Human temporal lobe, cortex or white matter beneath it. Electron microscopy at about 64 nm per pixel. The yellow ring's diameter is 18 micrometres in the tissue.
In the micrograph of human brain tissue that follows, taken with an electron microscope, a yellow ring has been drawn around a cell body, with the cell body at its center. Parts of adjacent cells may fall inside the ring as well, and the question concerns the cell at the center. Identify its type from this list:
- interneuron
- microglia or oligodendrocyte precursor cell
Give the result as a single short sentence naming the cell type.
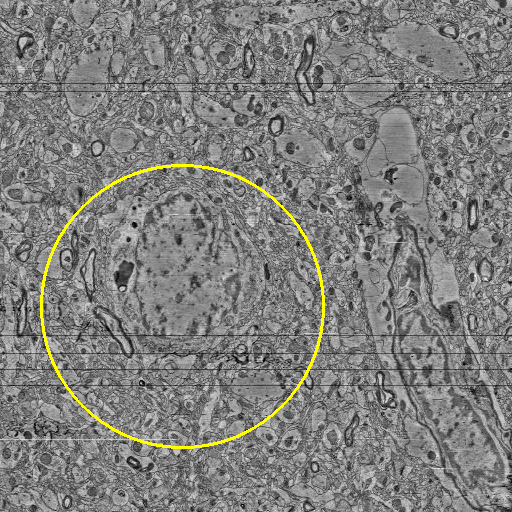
The ring is centered on an interneuron.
